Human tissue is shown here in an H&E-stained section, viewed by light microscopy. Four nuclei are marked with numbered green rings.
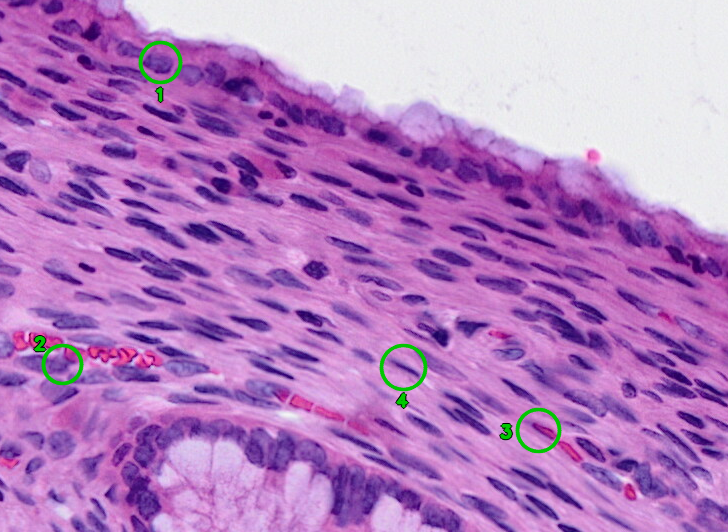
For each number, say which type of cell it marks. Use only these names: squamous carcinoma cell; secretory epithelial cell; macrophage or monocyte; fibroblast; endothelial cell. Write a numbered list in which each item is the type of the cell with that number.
1. secretory epithelial cell
2. endothelial cell
3. endothelial cell
4. fibroblast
